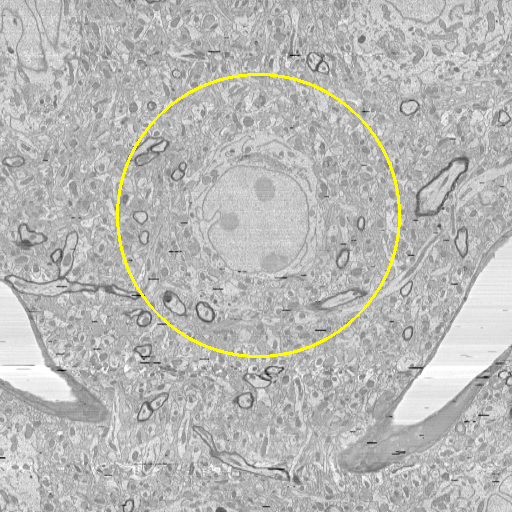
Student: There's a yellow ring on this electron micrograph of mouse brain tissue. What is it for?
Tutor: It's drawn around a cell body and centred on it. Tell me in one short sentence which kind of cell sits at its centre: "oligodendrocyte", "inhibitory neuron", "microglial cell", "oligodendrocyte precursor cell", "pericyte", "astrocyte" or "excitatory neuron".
The cell at the centre of the ring is an excitatory neuron.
